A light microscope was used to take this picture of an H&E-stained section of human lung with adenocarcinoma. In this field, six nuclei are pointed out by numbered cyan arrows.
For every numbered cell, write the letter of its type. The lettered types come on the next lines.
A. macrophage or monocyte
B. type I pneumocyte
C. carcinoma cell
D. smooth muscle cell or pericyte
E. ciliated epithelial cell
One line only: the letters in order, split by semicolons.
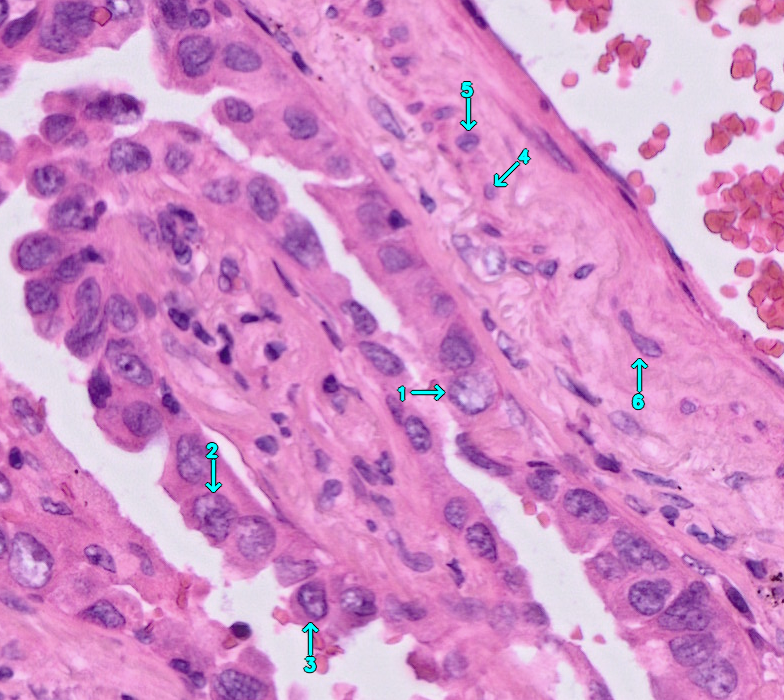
C; C; C; D; D; D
